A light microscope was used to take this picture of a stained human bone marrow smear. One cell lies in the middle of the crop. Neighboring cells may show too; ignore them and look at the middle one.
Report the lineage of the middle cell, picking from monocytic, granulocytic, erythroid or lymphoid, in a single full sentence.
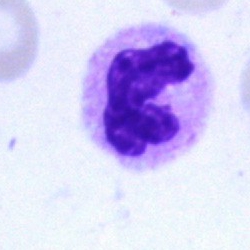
To the granulocytic lineage belongs the cell in the middle of the crop.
